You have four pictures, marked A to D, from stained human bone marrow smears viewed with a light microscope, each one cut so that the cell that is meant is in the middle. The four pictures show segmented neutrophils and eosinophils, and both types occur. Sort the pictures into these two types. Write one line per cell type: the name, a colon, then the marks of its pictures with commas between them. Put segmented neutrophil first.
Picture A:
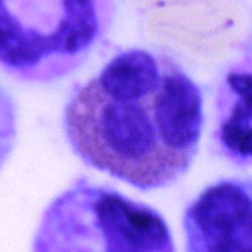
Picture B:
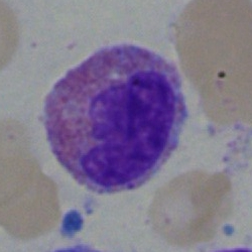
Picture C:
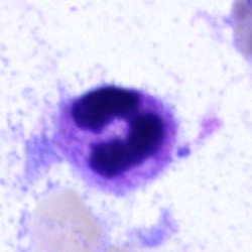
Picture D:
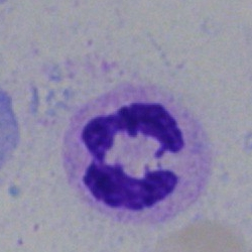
segmented neutrophil: C, D
eosinophil: A, B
